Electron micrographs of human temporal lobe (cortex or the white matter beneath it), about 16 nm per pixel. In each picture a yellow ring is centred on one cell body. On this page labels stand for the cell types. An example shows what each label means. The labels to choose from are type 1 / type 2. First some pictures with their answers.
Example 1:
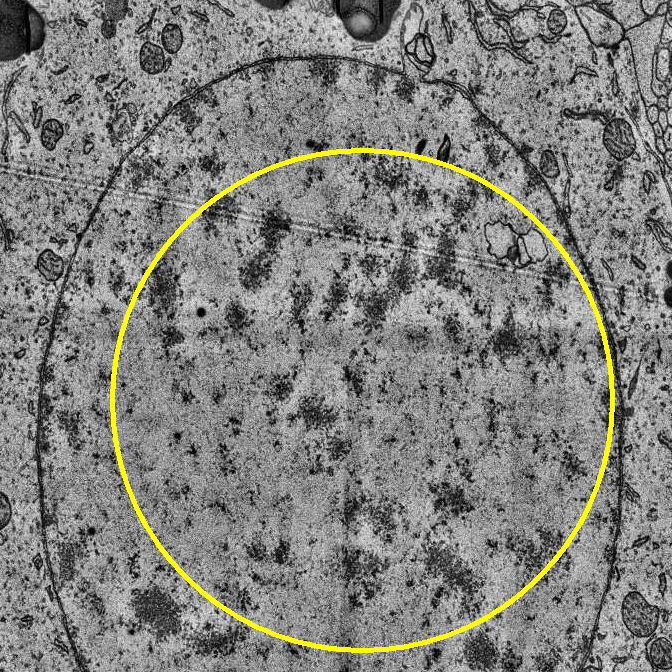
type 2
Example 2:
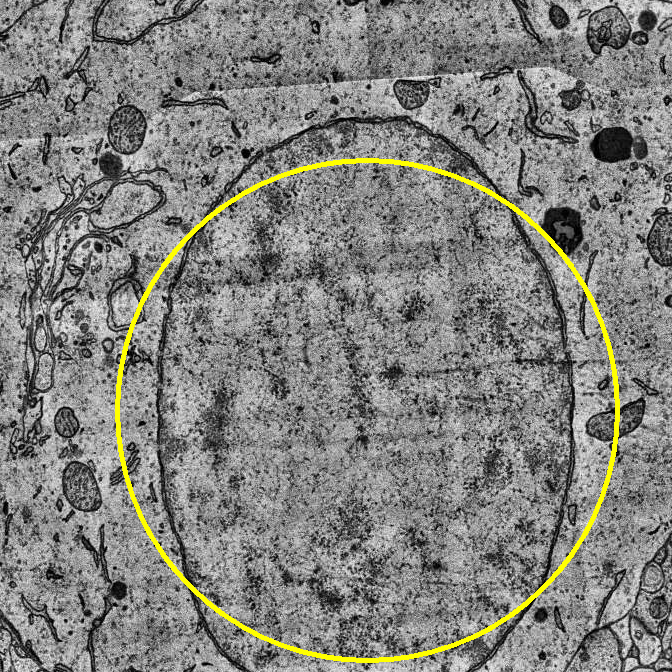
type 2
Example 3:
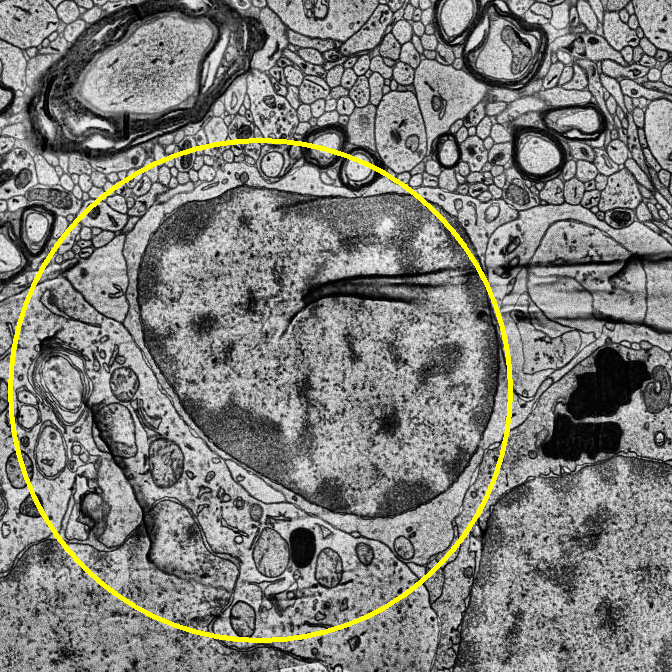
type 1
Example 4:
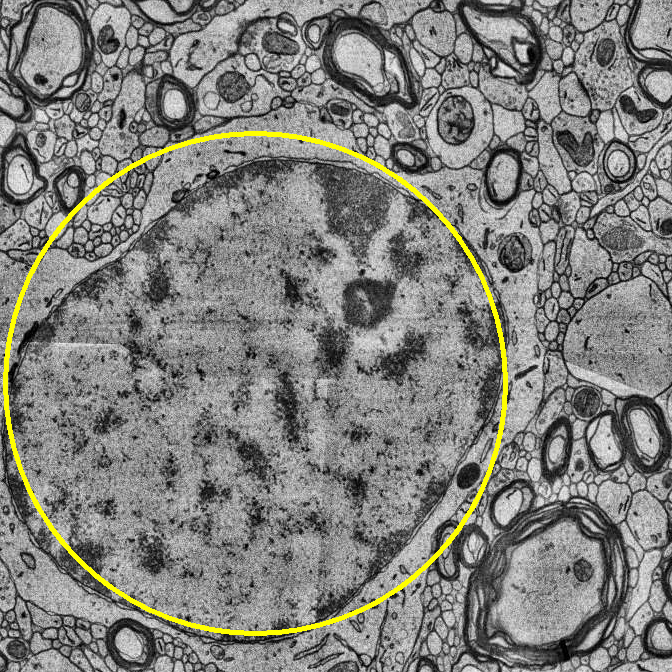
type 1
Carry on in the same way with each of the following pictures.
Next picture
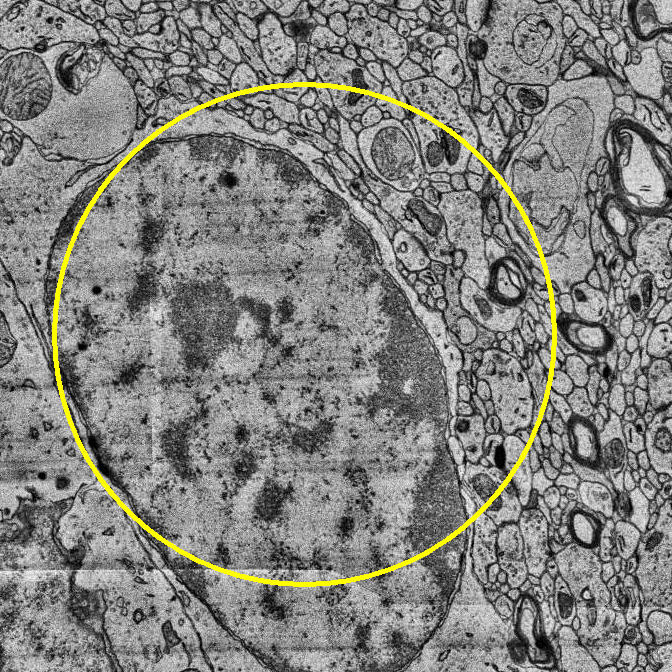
type 1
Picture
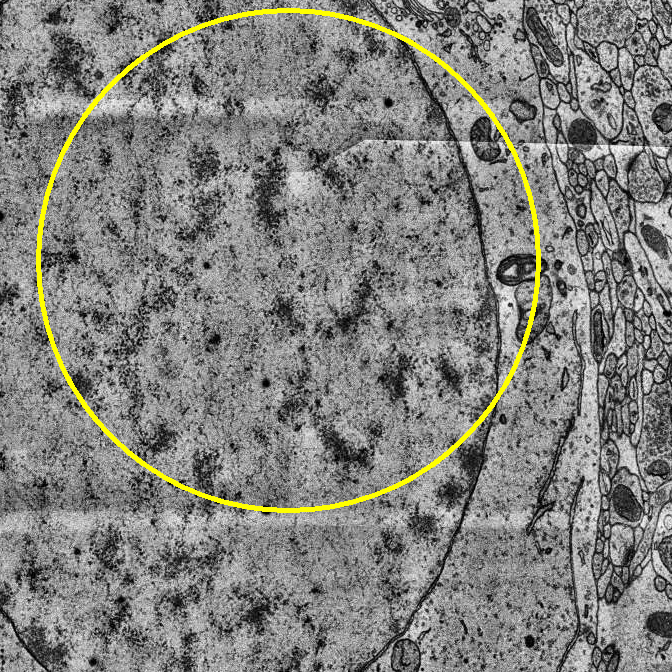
type 2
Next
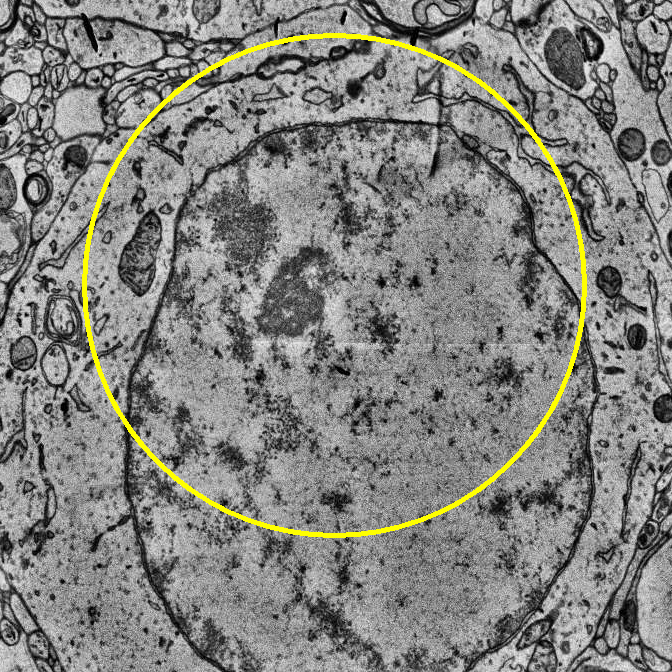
type 2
